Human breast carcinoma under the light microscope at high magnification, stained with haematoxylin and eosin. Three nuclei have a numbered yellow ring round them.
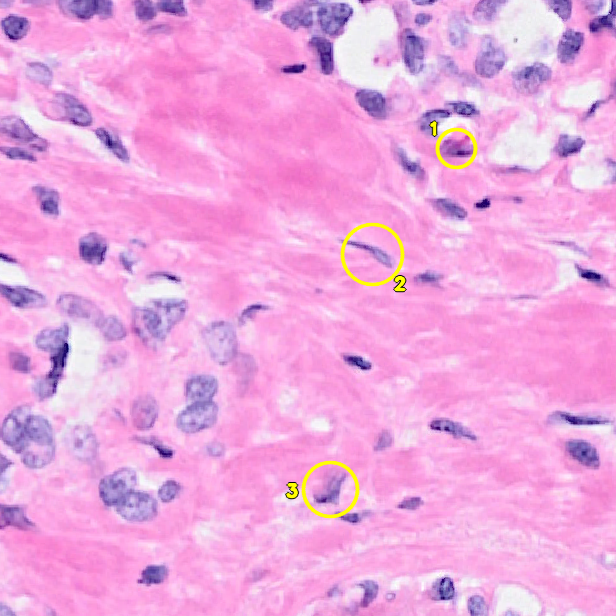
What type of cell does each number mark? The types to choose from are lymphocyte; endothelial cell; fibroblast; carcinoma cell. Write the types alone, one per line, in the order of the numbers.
endothelial cell
fibroblast
fibroblast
